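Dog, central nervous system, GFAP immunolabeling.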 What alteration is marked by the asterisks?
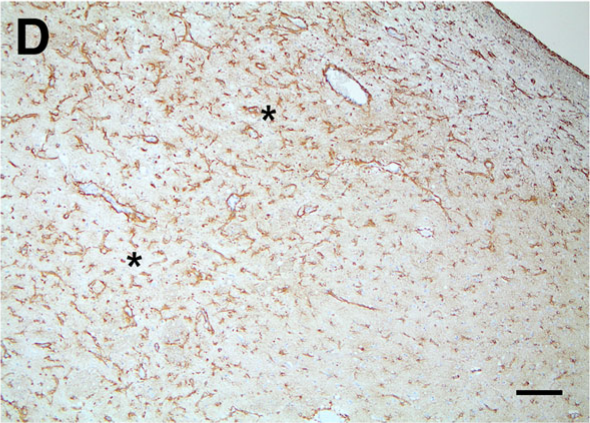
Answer: Astrocytosis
